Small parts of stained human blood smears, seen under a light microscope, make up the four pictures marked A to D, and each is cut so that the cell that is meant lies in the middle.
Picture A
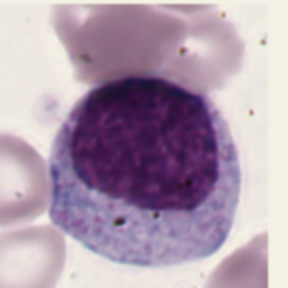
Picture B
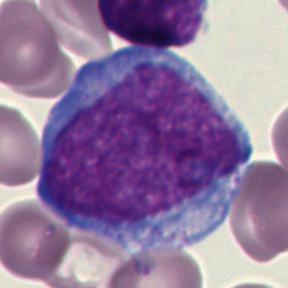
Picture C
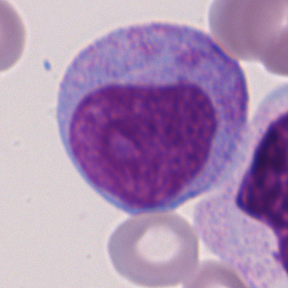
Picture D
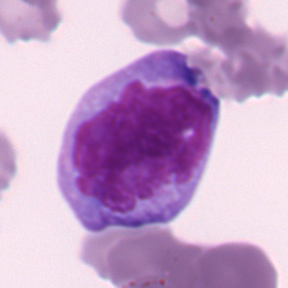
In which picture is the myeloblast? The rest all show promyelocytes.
D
